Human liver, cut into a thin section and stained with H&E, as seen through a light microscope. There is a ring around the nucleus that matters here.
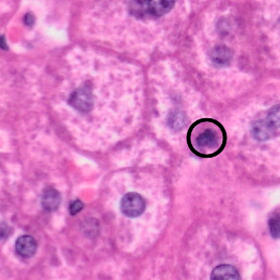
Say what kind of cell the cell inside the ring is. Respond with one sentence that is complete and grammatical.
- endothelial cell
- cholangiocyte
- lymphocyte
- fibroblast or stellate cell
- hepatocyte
It is as a fibroblast or stellate cell that the cell inside the ring is recorded.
